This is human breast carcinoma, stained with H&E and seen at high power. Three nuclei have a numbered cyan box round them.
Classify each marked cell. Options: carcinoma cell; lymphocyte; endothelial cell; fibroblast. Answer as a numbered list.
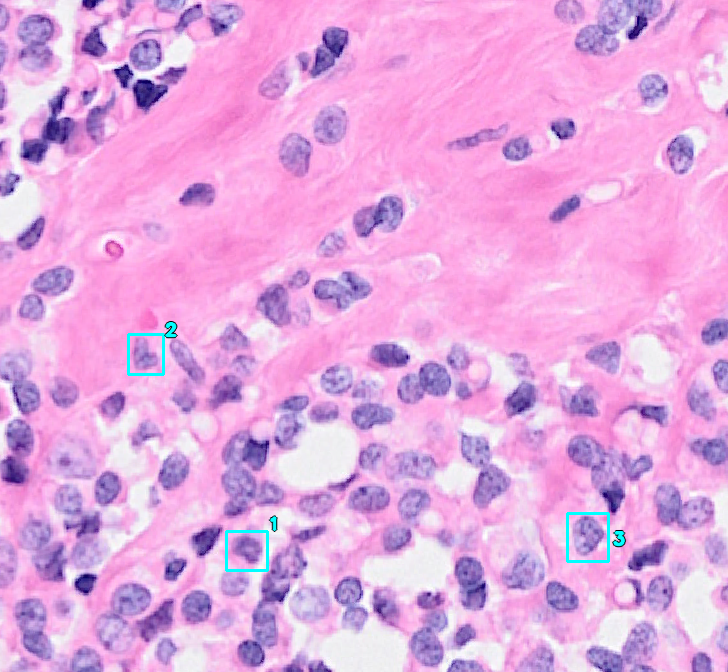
1. carcinoma cell
2. endothelial cell
3. carcinoma cell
